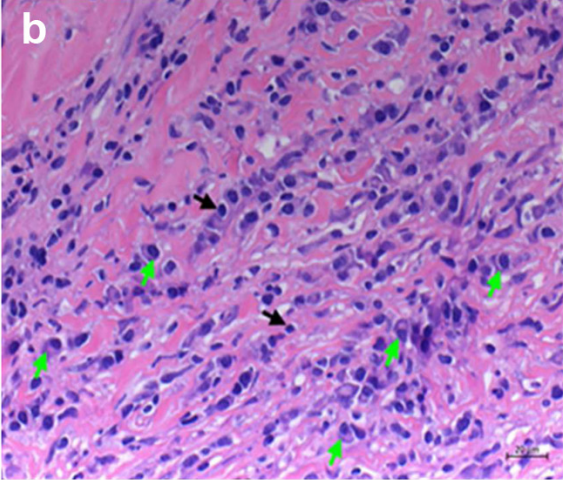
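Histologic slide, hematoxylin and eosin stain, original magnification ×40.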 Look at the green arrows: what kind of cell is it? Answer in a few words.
plasma cells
